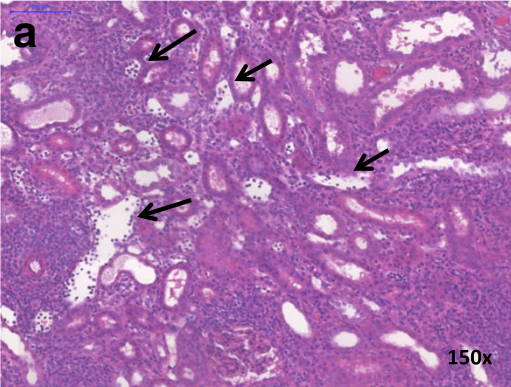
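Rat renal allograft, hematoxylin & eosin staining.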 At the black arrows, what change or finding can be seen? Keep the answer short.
peritubular capillaritis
